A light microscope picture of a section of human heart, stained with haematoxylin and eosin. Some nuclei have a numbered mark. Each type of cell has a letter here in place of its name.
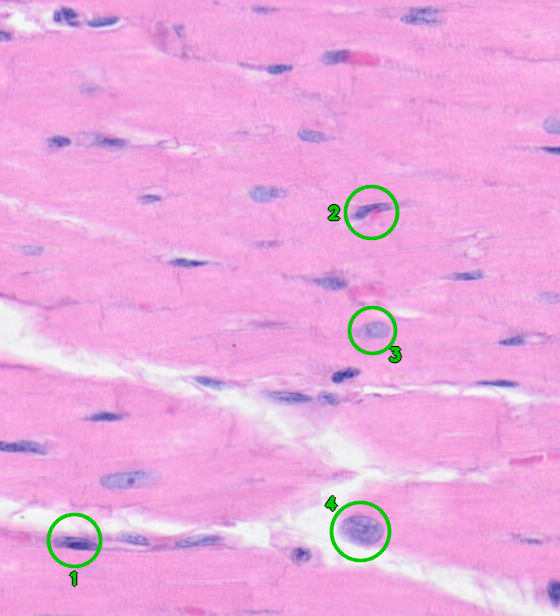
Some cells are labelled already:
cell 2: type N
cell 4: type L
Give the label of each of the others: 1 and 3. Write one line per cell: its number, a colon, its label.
1: type N
3: type L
